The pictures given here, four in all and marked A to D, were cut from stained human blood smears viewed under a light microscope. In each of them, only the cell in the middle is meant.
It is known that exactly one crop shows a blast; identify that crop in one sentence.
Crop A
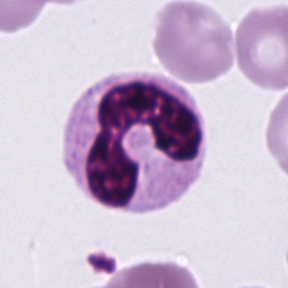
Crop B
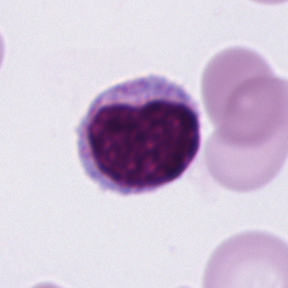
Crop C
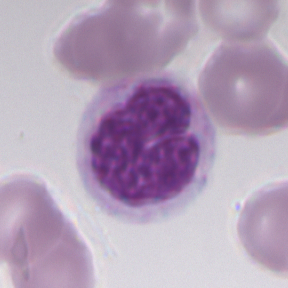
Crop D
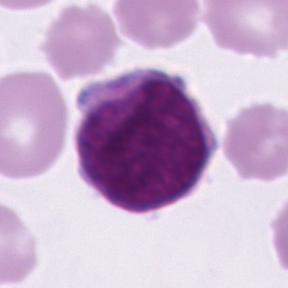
The crop marked D is the one that shows a blast.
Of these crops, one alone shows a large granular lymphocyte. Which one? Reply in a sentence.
Of the cells presented, the one in crop B is a large granular lymphocyte.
